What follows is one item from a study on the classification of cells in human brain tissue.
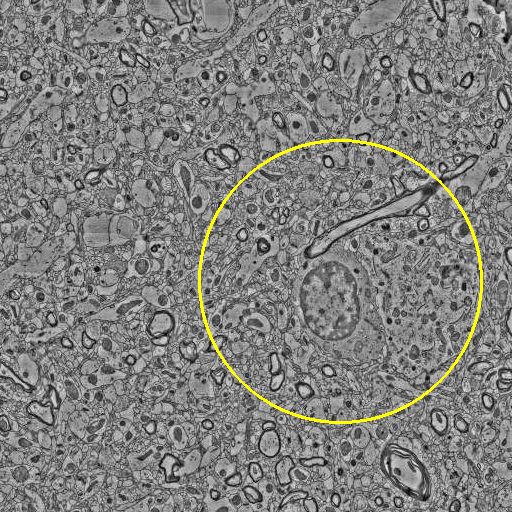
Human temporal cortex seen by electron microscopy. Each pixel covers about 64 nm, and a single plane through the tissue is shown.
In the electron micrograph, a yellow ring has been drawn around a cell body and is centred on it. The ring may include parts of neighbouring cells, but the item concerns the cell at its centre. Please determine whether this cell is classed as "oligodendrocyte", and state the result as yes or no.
yes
